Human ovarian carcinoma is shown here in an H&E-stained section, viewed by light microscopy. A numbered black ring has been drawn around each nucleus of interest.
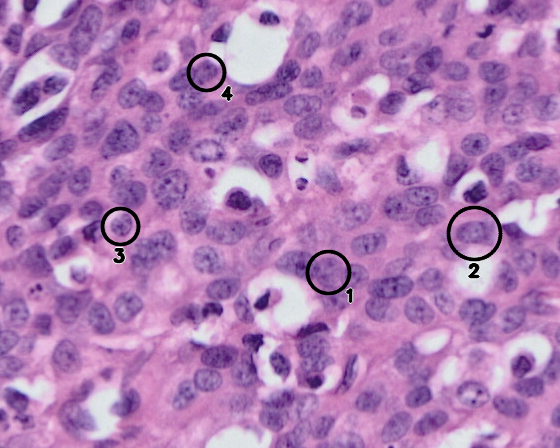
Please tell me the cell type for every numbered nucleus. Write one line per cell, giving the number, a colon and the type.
1: carcinoma cell
2: carcinoma cell
3: macrophage or monocyte
4: carcinoma cell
